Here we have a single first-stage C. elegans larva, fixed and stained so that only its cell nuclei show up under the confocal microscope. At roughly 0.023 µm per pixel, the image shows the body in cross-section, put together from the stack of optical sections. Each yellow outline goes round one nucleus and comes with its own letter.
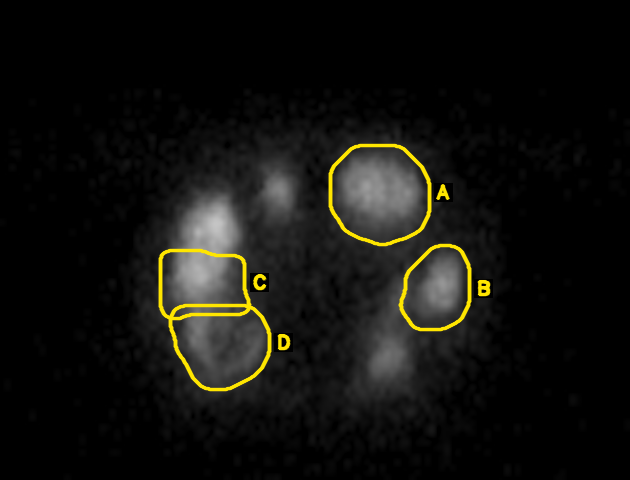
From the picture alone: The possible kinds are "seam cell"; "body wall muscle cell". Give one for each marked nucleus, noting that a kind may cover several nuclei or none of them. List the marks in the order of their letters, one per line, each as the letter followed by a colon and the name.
A: seam cell
B: body wall muscle cell
C: body wall muscle cell
D: seam cell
